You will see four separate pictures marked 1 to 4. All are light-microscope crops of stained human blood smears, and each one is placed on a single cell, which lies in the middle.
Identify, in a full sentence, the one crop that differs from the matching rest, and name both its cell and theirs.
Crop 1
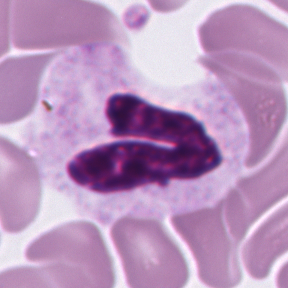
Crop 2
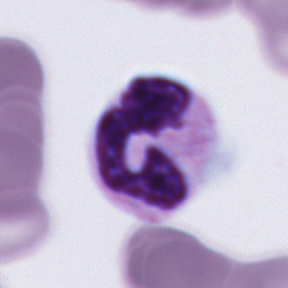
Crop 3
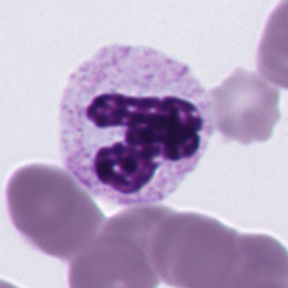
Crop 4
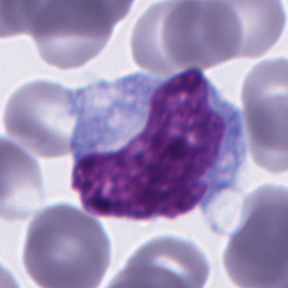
For this set, crop 4 is a monocyte, and all the rest are neutrophils.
